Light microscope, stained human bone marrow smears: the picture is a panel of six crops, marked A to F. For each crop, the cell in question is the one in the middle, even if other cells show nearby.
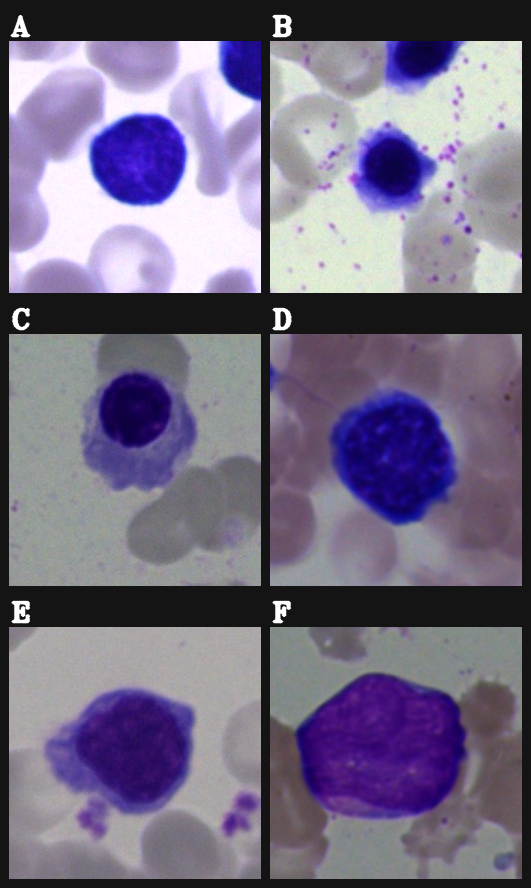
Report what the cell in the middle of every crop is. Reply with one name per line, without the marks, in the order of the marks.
lymphocyte
erythroblast
erythroblast
lymphocyte
lymphocyte
blast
